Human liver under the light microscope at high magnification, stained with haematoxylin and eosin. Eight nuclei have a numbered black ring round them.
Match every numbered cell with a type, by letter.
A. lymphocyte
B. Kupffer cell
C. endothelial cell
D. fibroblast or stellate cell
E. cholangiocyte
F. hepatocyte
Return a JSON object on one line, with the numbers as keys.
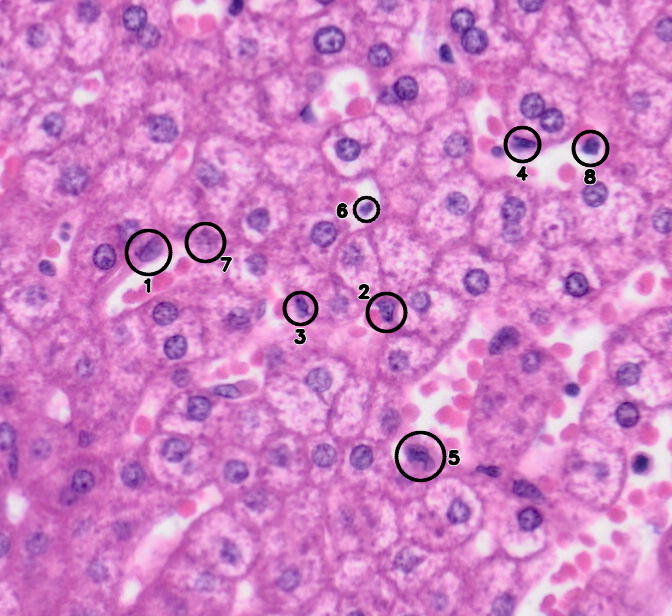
{"1": "B", "2": "C", "3": "D", "4": "D", "5": "B", "6": "A", "7": "F", "8": "A"}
